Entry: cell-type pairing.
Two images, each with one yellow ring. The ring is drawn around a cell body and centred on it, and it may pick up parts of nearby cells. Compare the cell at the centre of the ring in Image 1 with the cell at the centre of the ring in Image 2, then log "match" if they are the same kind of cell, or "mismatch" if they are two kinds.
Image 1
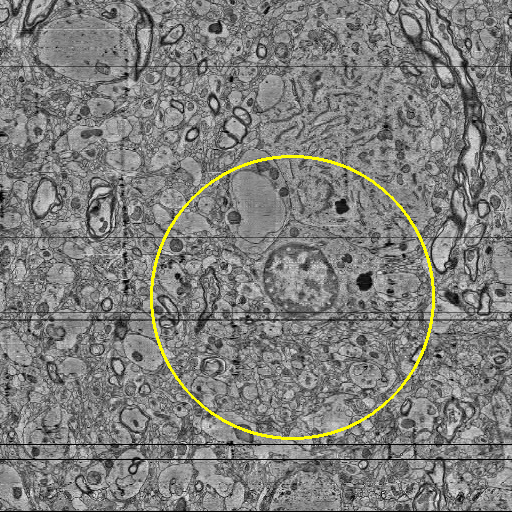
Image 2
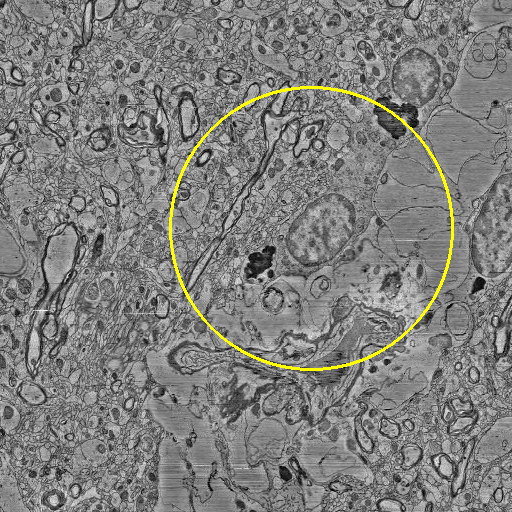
match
